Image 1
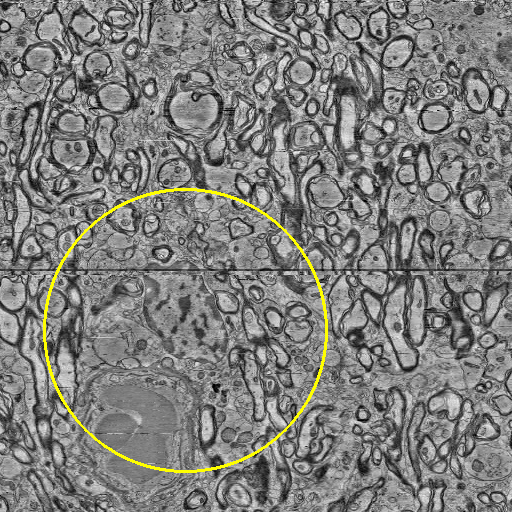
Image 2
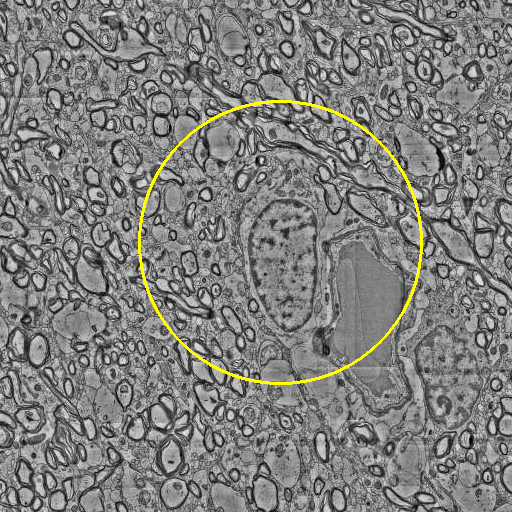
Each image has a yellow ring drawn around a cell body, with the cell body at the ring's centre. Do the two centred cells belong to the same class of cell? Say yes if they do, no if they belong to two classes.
yes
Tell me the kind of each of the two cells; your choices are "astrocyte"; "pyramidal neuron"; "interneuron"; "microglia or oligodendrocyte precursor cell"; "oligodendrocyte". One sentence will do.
The second cell is a microglial cell or oligodendrocyte precursor cell, just as the first is.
